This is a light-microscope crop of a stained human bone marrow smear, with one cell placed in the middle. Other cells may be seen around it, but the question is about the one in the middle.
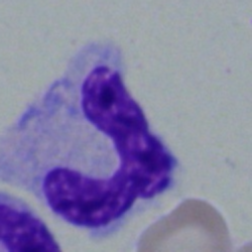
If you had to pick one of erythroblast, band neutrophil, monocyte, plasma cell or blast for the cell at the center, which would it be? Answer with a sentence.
The middle of this crop holds a band neutrophil.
